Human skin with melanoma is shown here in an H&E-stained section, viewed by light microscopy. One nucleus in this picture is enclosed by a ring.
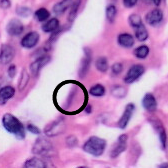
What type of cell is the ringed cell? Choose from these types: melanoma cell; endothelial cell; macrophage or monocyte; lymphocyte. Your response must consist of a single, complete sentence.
It is an endothelial cell that the ringed cell represents.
